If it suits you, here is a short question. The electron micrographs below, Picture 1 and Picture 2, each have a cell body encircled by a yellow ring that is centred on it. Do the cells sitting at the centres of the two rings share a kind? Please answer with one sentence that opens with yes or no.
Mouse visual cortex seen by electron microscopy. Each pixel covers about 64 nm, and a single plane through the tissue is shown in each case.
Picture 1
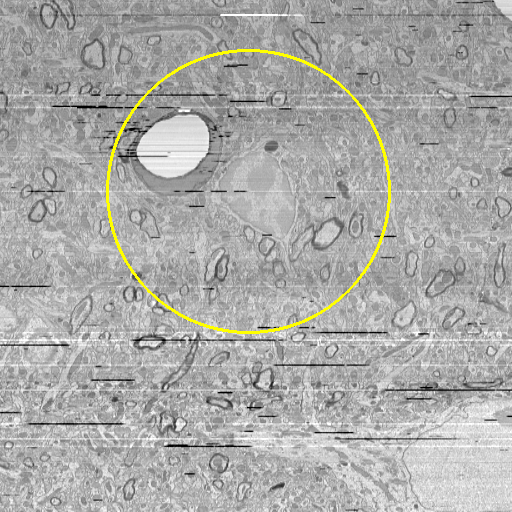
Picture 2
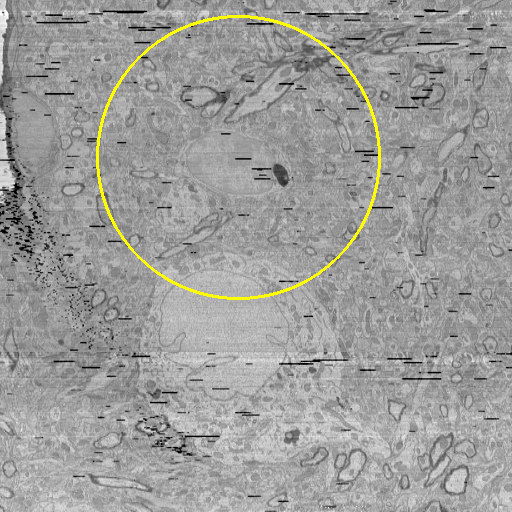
Yes, the two cells sitting at the ring centres share a single kind.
